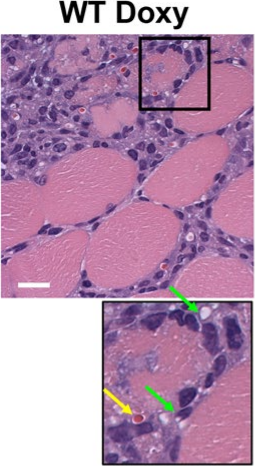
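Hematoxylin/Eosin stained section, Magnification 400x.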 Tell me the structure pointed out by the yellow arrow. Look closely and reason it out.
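Capillaries with a trapped erythrocyte. The arrow points to a small round lumen between fibers. A small red-orange disc lies inside the lumen.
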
